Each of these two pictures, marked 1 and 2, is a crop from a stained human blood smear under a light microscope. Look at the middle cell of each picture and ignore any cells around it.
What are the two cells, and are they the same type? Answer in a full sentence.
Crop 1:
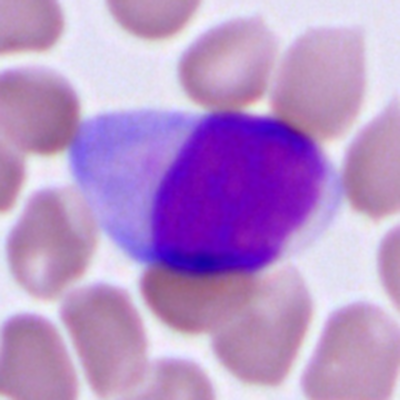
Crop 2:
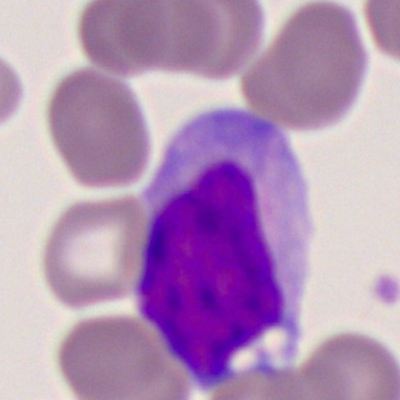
Yes, in the middle of both crops lie myeloblasts.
